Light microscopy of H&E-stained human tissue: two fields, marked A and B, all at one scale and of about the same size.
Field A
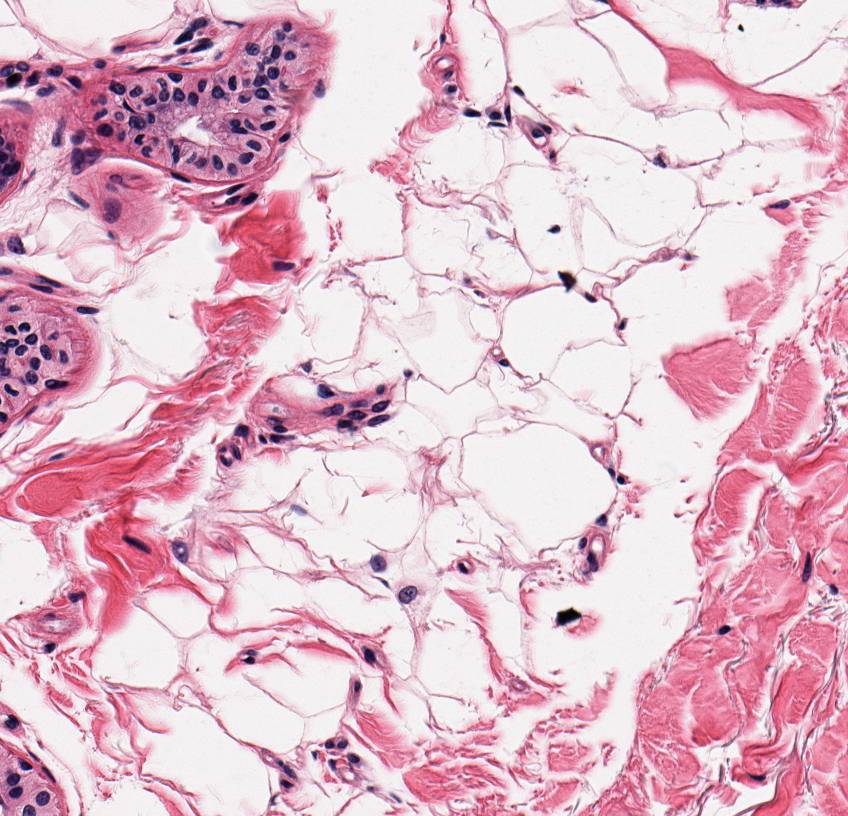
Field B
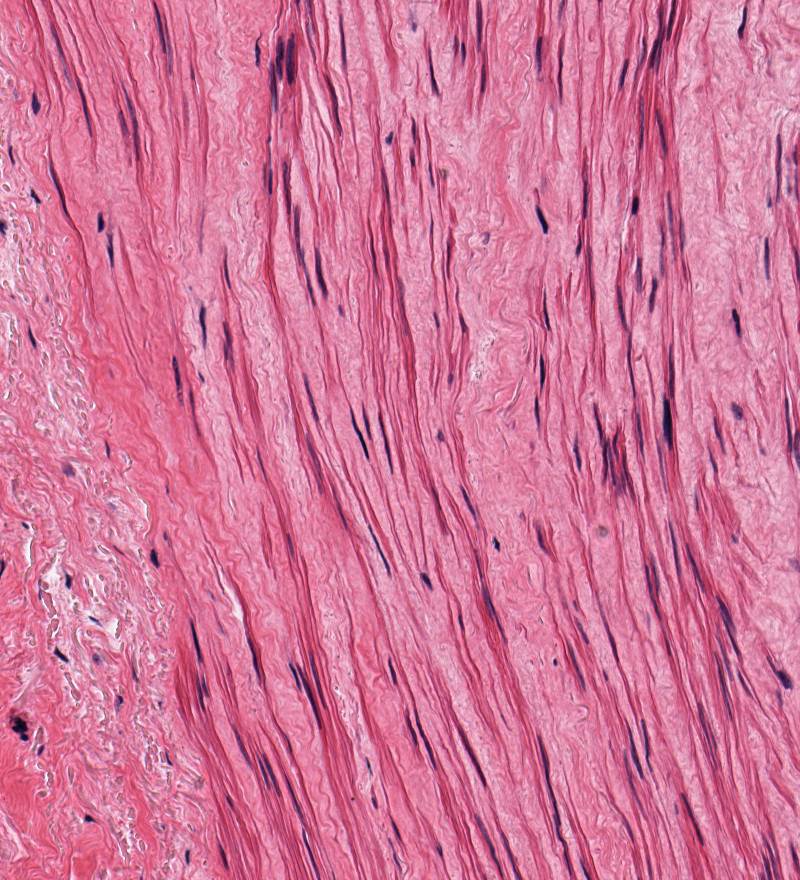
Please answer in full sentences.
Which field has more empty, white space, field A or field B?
More of field A is empty and white.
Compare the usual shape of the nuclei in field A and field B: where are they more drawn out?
Longer, more slender nuclei lie in field B.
